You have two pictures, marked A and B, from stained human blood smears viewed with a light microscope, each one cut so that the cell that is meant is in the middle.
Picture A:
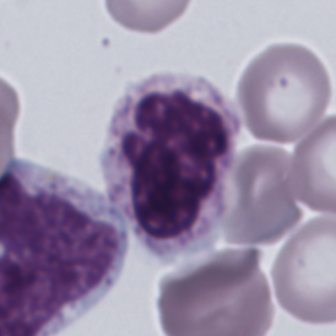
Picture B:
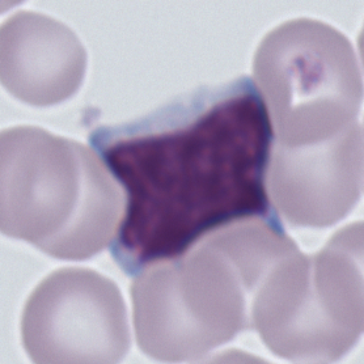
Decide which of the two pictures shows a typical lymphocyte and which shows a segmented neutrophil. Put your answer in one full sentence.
Picture A is of a segmented neutrophil, and picture B is of a typical lymphocyte.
